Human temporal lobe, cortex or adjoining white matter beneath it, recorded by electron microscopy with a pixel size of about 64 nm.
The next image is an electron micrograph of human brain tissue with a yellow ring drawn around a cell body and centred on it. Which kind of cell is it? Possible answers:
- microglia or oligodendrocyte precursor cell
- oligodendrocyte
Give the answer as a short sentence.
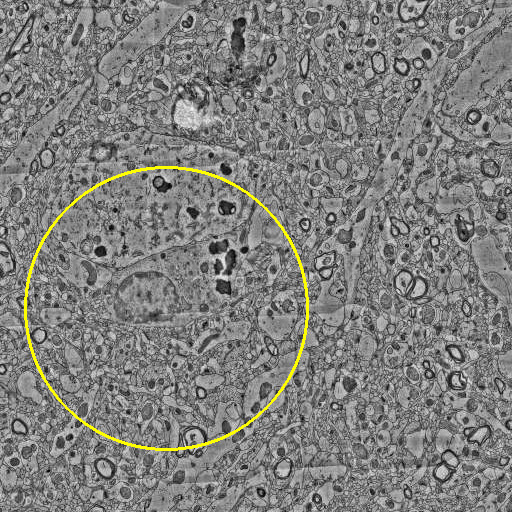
In the ring's centre is an oligodendrocyte.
